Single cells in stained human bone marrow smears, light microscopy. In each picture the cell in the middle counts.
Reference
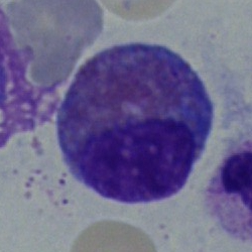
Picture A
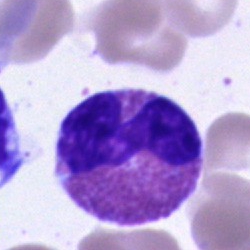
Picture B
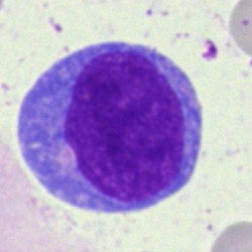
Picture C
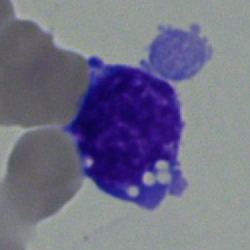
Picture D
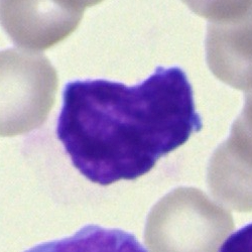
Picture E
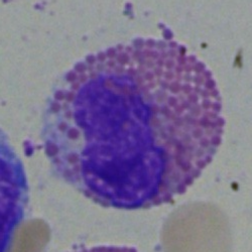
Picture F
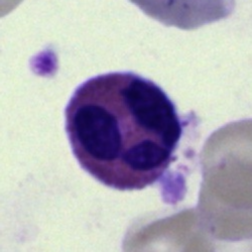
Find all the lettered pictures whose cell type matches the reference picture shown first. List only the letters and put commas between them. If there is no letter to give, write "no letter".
A, E, F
